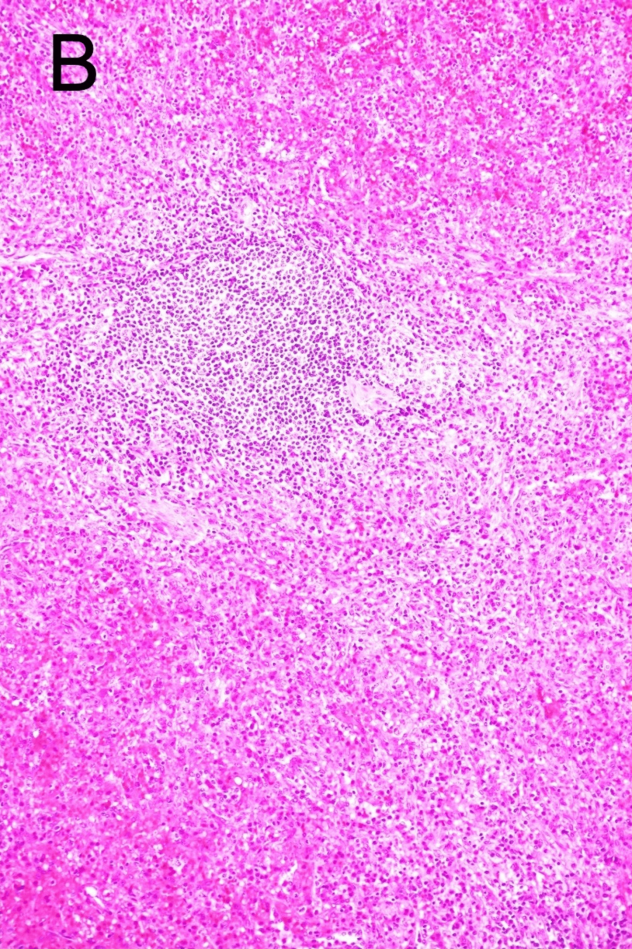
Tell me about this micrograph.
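This is splenic tissue at higher power, with a rounded nodule of white pulp in the middle surrounded by red pulp. The nodule is made of closely packed small lymphocytes whose dark, round nuclei make it look more purple than its surroundings. Around it, the red pulp is pinker and looser. The red pulp is rich in red blood cells, with scattered nucleated cells lying among them.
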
